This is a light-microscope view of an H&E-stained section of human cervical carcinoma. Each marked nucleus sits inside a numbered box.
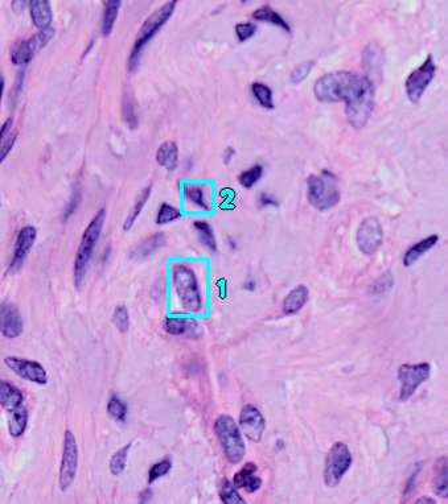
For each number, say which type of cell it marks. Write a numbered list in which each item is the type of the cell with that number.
1. endothelial cell
2. fibroblast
